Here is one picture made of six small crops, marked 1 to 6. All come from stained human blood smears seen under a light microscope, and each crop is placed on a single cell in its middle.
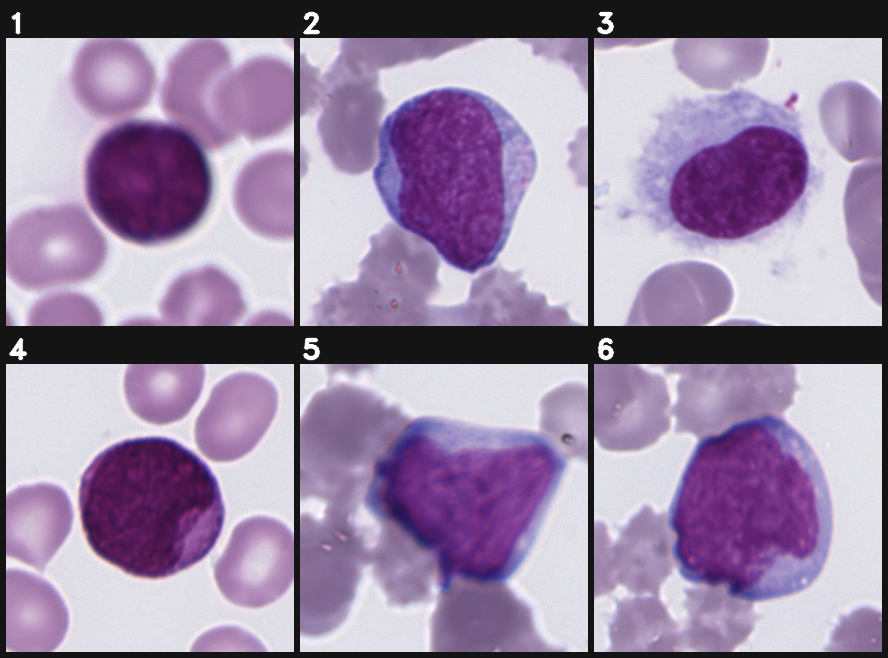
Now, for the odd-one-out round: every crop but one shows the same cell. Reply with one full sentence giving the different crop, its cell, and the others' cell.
Crop 3 alone is a hairy cell, and the other crops are all myeloblasts.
